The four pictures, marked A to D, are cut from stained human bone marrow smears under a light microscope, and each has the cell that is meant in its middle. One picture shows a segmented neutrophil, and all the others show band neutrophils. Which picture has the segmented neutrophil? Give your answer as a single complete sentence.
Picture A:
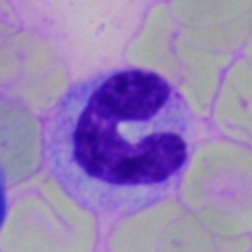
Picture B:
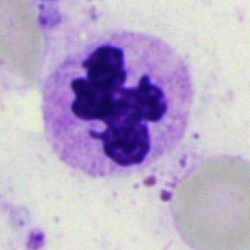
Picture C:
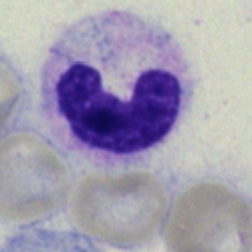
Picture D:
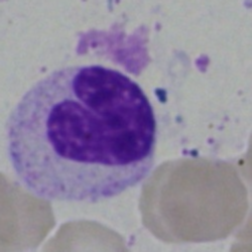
Picture B is the one that shows the segmented neutrophil.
